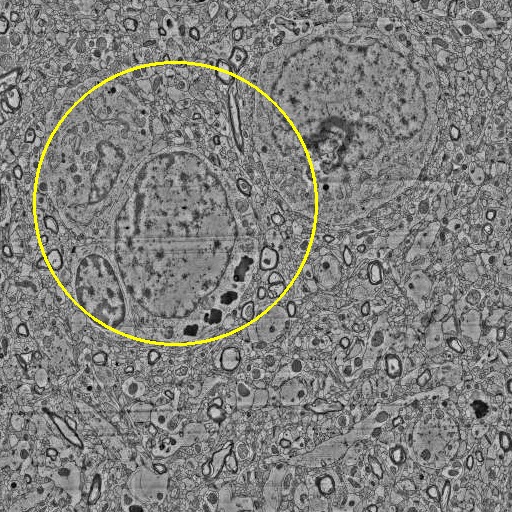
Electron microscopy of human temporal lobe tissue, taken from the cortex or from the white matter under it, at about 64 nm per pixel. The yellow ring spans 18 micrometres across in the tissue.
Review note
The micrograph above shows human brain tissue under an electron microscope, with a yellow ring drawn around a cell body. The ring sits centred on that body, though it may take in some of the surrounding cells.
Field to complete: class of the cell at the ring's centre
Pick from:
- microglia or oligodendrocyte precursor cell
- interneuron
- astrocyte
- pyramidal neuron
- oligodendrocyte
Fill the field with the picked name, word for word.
interneuron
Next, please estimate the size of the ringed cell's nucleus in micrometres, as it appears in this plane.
In this plane, about 11 micrometres in length and 8 in width.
